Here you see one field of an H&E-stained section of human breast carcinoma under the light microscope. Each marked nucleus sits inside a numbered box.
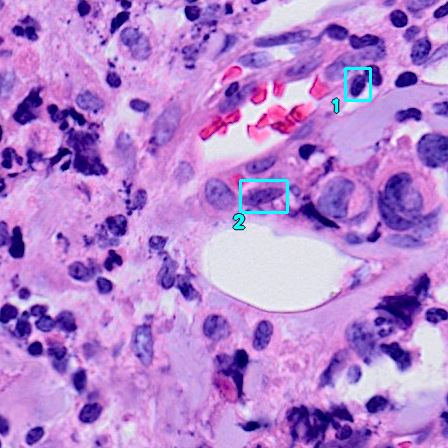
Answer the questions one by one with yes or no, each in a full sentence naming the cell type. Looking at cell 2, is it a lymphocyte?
No, the cell carrying number 2 is an endothelial cell rather than a lymphocyte.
